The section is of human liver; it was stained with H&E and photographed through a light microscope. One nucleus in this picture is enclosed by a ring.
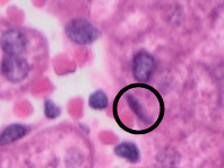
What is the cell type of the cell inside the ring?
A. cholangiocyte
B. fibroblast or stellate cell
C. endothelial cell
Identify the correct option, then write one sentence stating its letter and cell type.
Option B is the correct one: the cell inside the ring is a fibroblast or stellate cell.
